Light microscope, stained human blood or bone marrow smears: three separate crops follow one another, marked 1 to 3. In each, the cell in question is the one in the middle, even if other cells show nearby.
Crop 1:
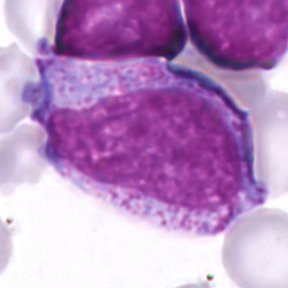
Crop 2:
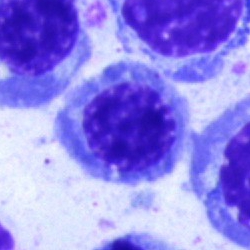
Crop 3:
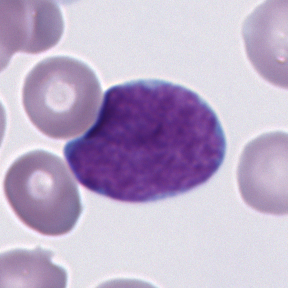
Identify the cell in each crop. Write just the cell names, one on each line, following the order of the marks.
promyelocyte
erythroblast
blast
